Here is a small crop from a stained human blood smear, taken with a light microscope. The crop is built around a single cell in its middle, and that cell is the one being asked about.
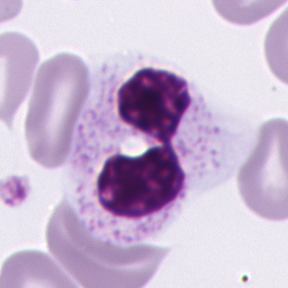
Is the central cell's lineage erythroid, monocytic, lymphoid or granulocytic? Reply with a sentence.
In terms of lineage, the cell at the center is granulocytic.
